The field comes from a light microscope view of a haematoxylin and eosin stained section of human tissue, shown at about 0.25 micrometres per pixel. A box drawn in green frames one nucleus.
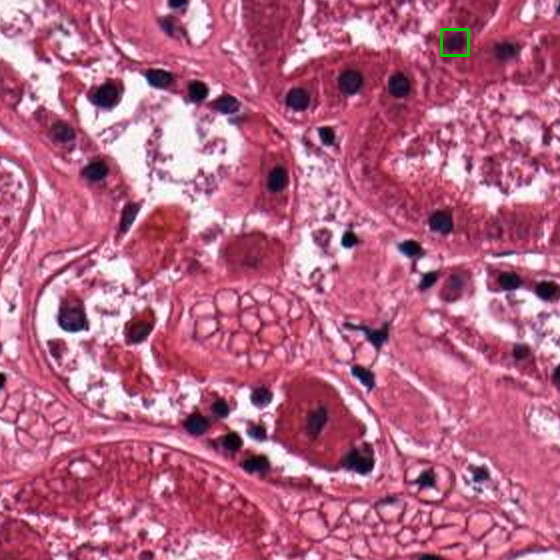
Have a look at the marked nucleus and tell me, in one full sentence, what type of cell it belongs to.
Within a proximal tubule cell lies the marked nucleus.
